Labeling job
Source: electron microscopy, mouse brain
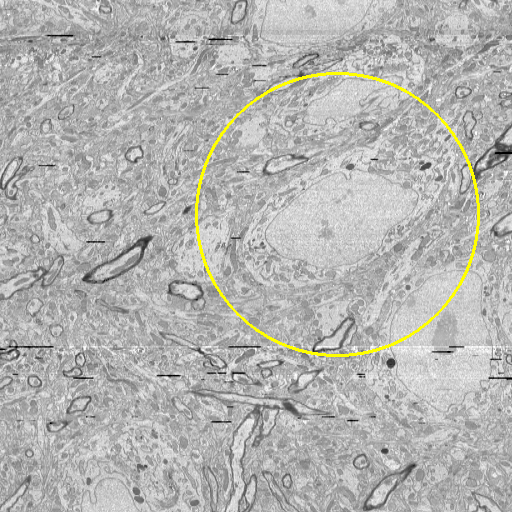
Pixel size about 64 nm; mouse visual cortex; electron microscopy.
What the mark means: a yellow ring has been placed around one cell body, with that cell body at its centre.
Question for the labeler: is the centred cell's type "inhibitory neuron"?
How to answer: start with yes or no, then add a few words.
Yes, that is its type.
